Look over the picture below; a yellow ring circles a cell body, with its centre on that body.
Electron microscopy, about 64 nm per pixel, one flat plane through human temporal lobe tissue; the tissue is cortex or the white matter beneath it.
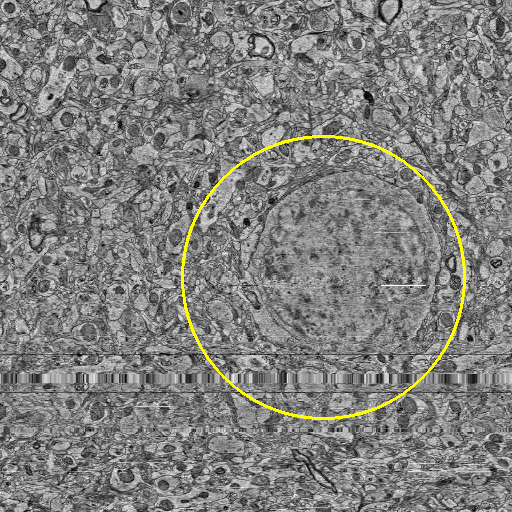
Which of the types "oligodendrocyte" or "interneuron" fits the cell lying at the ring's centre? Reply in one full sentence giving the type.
The picture shows an interneuron at the centre of the yellow ring.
